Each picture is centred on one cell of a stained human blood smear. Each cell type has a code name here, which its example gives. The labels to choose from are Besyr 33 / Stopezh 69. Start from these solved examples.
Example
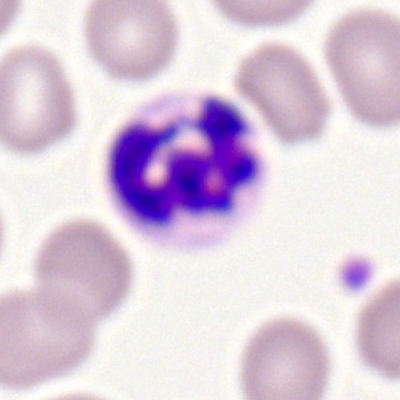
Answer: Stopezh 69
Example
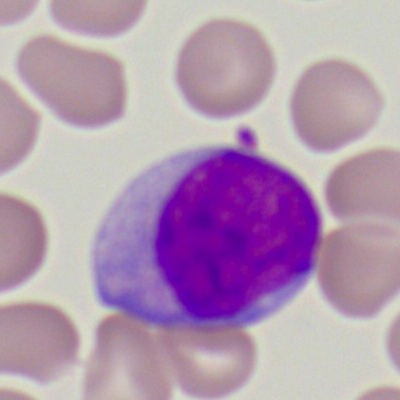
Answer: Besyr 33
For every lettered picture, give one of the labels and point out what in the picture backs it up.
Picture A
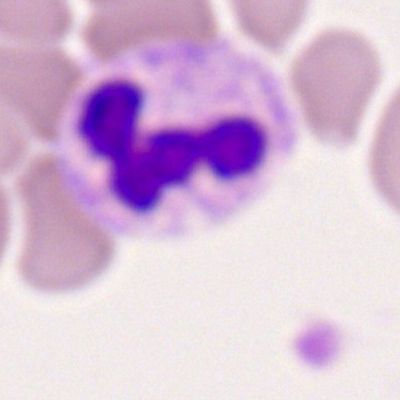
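Stopezh 69. Reason: The cytoplasm is plentiful and pale pinkish-lilac.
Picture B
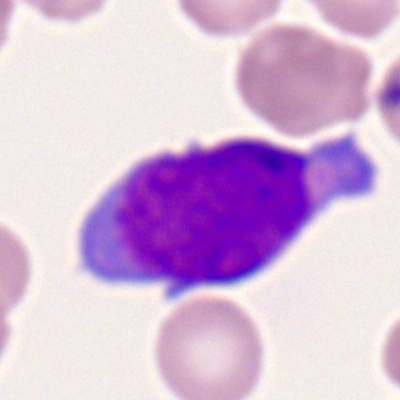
Besyr 33. Reason: The nucleus fills most of the cell.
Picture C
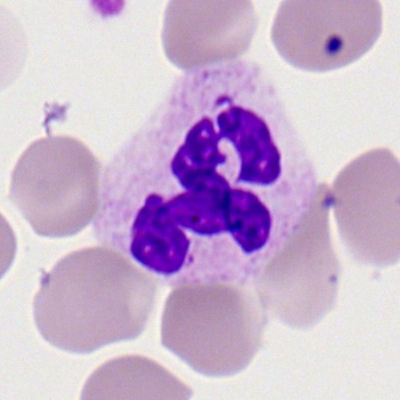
Stopezh 69. Reason: The cytoplasm is plentiful and pale pinkish-lilac.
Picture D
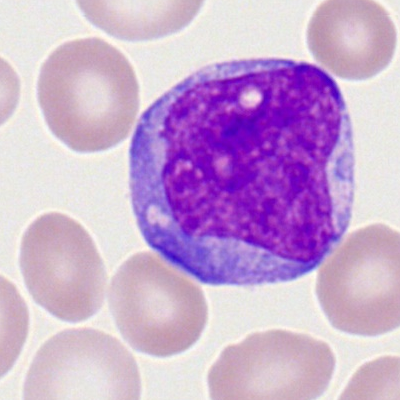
Besyr 33. Reason: The nucleus fills most of the cell.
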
